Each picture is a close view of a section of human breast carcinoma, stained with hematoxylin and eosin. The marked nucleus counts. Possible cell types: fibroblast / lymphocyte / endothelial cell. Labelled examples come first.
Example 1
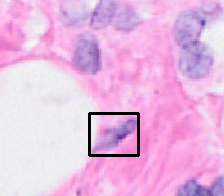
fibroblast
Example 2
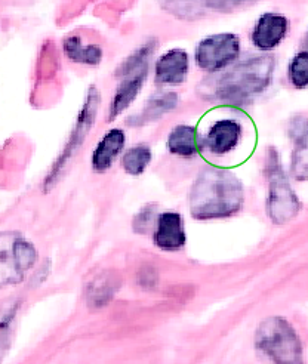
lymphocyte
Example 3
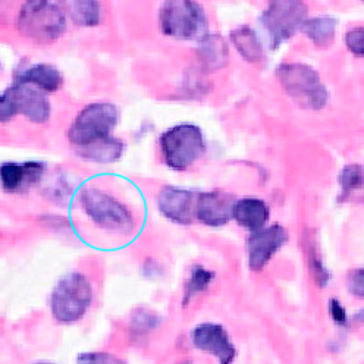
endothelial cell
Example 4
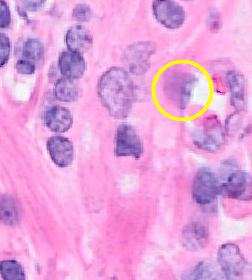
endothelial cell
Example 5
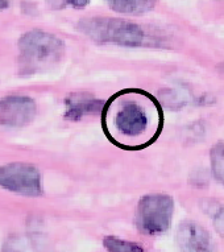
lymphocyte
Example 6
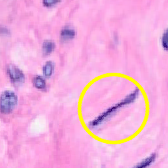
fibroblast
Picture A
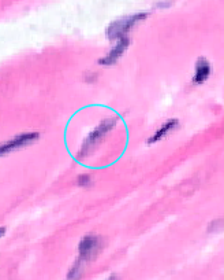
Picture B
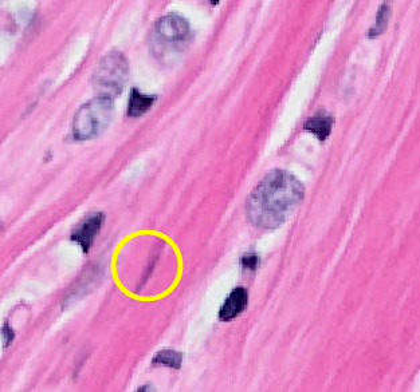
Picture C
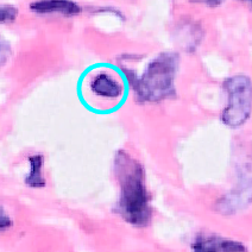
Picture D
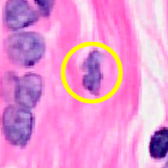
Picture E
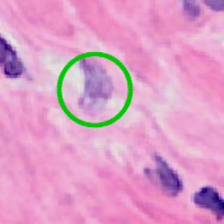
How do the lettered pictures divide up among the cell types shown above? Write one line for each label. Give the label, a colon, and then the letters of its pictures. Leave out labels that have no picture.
fibroblast: A, B, E
lymphocyte: C, D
